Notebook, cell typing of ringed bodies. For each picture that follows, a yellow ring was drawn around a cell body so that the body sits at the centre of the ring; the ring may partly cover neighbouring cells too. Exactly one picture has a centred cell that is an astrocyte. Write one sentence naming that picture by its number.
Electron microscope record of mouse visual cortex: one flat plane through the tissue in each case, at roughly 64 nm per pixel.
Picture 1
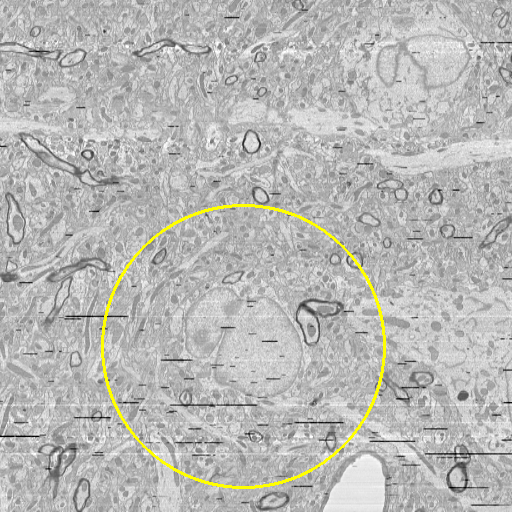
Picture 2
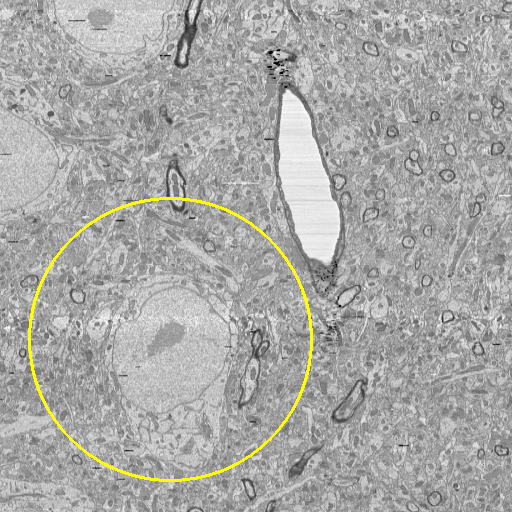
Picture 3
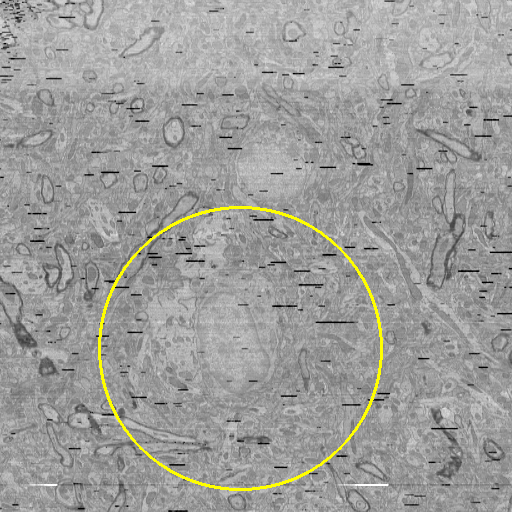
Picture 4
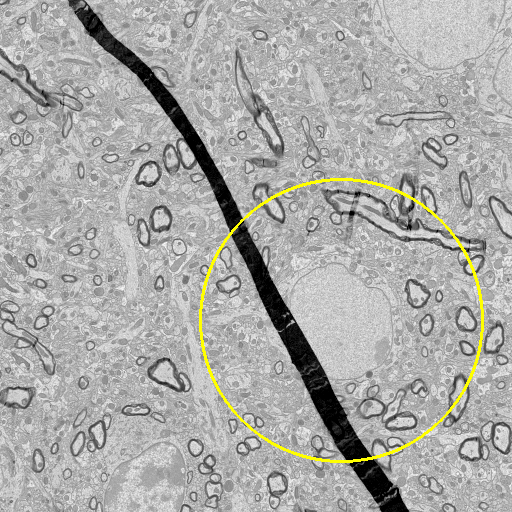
Picture 1 is the one with it at the centre of its ring.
